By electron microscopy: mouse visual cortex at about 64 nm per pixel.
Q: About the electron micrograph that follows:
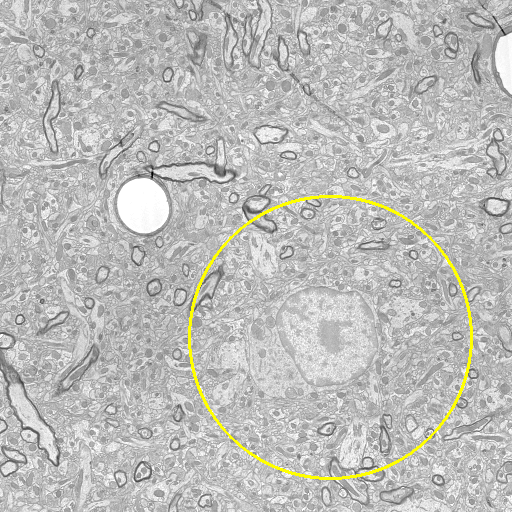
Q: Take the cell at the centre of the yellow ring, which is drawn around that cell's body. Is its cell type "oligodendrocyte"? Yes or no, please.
Yes, its type is that one.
